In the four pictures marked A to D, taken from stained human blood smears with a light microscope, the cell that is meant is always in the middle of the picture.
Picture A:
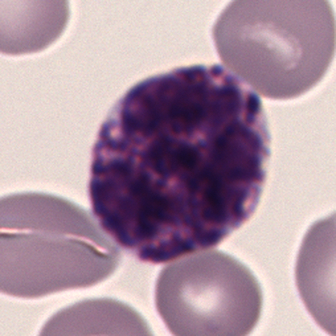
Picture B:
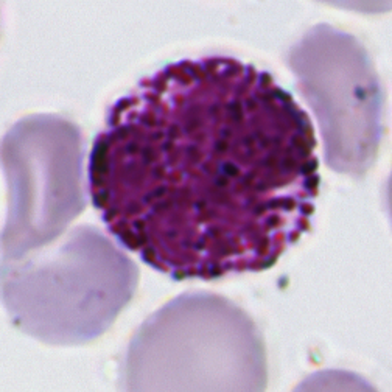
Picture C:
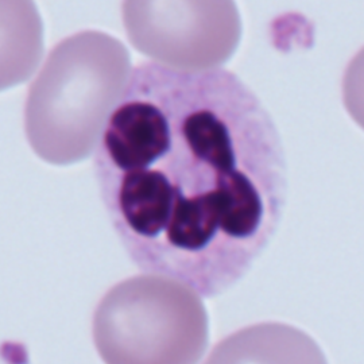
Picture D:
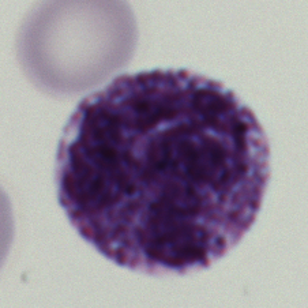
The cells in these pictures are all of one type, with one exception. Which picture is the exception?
C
